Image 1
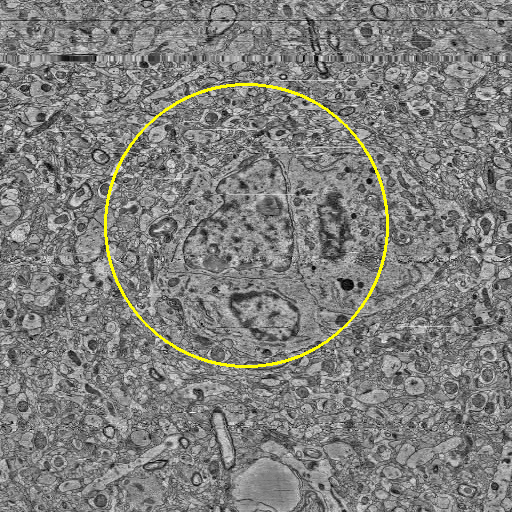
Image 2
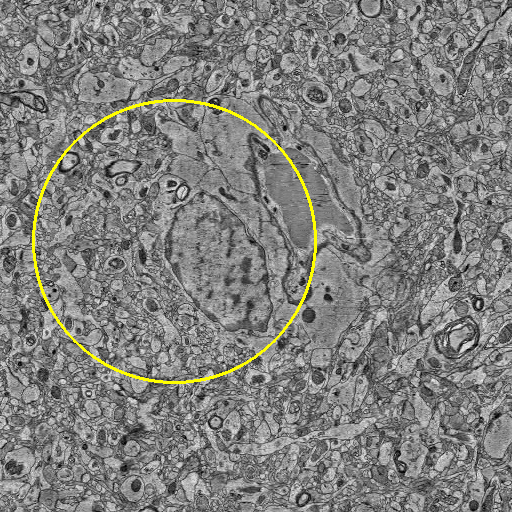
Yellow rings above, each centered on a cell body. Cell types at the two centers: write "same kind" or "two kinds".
same kind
